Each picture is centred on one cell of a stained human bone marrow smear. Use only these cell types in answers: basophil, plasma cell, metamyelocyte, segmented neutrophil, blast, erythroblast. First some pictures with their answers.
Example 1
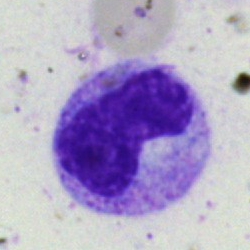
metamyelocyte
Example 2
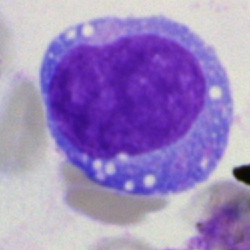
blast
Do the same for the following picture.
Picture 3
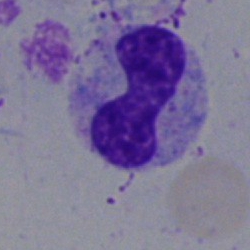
segmented neutrophil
